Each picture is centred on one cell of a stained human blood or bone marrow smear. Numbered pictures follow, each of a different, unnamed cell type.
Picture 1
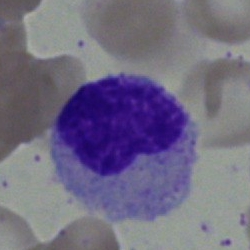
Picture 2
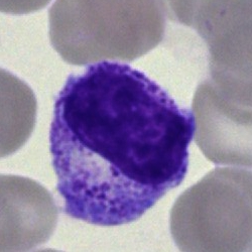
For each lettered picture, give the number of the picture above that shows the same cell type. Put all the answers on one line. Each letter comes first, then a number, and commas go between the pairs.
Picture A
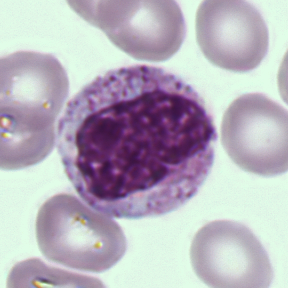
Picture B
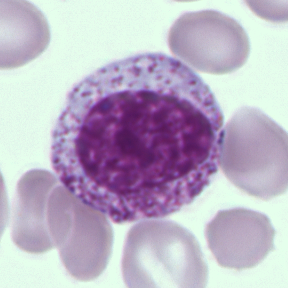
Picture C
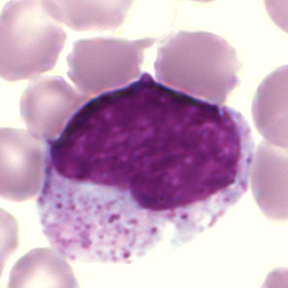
A 1, B 1, C 2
